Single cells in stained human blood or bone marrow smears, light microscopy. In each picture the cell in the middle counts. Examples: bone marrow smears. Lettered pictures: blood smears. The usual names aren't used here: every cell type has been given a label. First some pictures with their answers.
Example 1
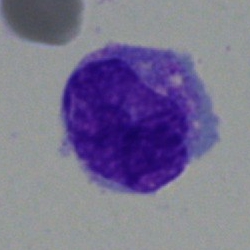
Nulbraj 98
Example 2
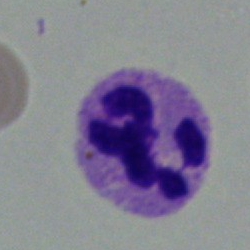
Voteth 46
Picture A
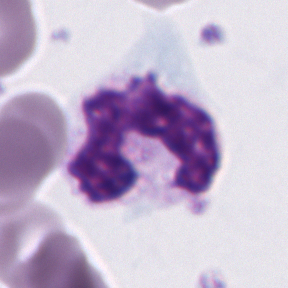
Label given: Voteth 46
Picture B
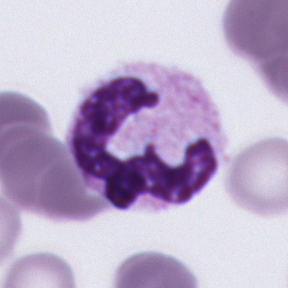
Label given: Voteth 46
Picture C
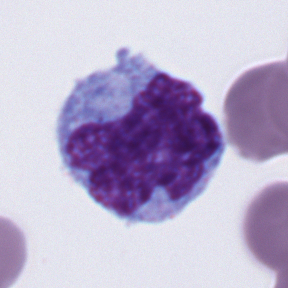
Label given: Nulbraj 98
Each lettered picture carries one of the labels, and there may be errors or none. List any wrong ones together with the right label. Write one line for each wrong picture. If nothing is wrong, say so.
All labels are correct.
